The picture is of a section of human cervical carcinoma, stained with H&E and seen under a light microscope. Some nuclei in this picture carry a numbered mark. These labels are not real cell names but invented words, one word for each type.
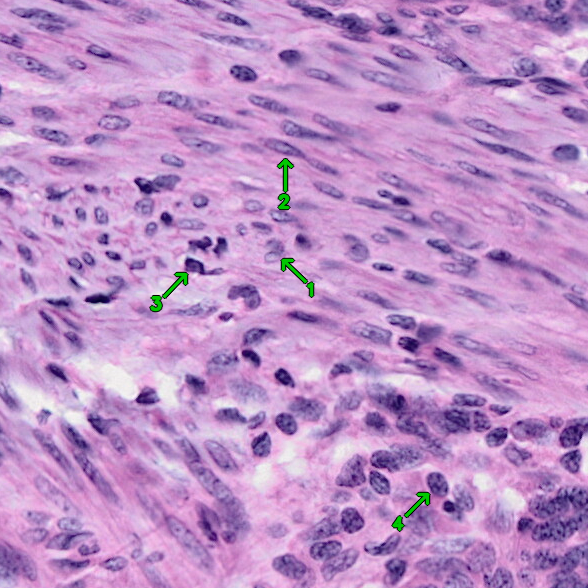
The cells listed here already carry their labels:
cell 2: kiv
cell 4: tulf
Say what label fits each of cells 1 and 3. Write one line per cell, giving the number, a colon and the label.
1: kiv
3: tulf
